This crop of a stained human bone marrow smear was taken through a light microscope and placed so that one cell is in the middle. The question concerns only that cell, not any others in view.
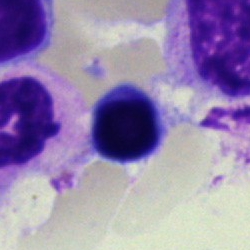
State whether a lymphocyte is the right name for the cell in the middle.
yes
